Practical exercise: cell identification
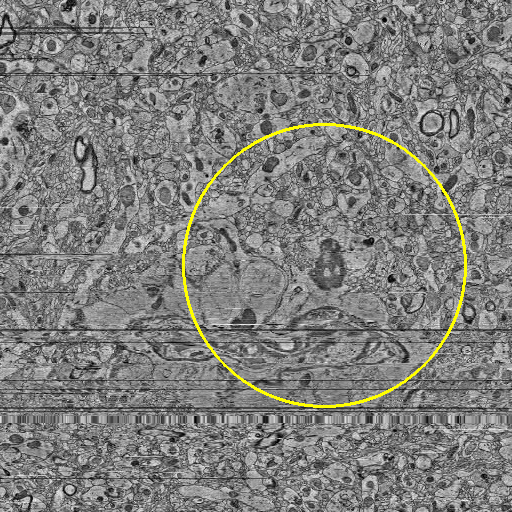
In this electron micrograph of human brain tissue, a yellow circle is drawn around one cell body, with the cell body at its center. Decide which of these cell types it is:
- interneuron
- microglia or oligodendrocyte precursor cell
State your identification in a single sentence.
The ringed cell is a microglial cell or oligodendrocyte precursor cell.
